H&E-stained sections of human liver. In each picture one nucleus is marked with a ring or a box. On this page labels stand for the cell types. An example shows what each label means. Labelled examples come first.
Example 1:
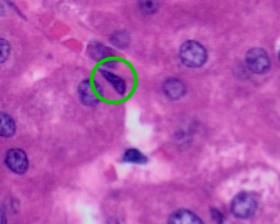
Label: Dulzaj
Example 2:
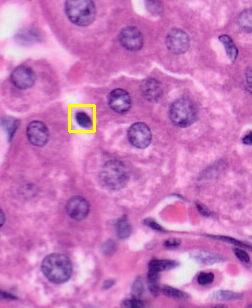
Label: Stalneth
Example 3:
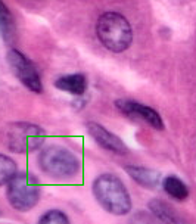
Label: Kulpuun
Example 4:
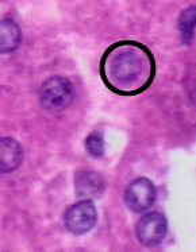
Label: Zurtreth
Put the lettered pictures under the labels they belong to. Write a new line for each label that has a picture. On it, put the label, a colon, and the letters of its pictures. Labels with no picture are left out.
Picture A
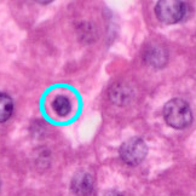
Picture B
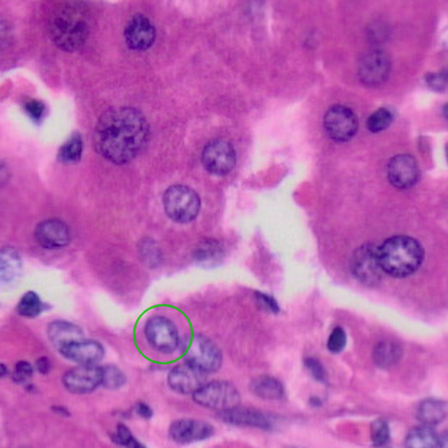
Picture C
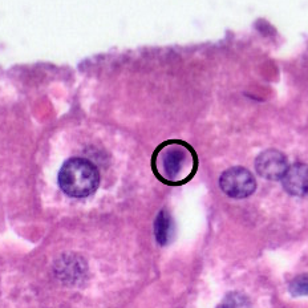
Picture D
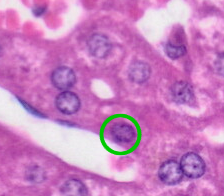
Dulzaj: C
Stalneth: A
Kulpuun: B
Zurtreth: D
